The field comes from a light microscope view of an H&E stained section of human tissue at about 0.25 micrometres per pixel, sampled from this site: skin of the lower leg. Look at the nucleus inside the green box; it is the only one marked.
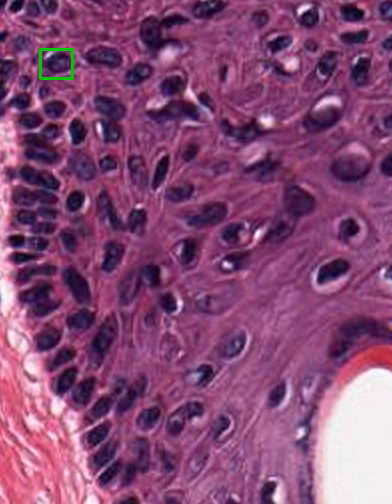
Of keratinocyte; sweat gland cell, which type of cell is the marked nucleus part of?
keratinocyte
